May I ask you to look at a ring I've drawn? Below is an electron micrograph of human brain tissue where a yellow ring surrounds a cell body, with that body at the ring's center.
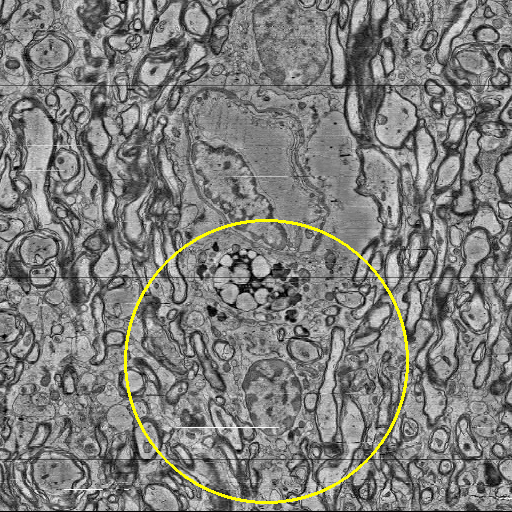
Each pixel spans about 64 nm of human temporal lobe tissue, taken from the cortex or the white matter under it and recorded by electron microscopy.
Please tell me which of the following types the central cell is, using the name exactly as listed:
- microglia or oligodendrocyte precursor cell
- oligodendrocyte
microglia or oligodendrocyte precursor cell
